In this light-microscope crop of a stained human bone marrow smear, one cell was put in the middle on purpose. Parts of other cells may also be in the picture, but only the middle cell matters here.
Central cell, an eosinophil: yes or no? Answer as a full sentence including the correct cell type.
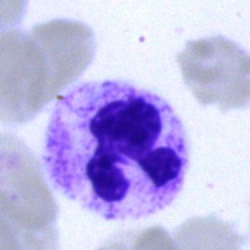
No, mark the middle cell as a segmented neutrophil, not an eosinophil.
